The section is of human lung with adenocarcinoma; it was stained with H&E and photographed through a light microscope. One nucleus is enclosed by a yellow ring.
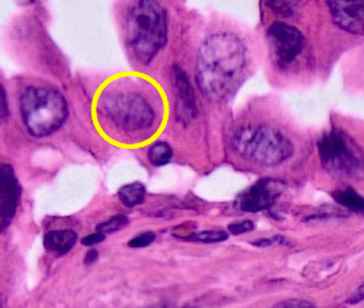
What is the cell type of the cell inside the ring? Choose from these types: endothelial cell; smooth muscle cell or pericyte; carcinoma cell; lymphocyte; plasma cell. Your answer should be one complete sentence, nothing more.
In the tissue at hand, the cell inside the ring is a carcinoma cell.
